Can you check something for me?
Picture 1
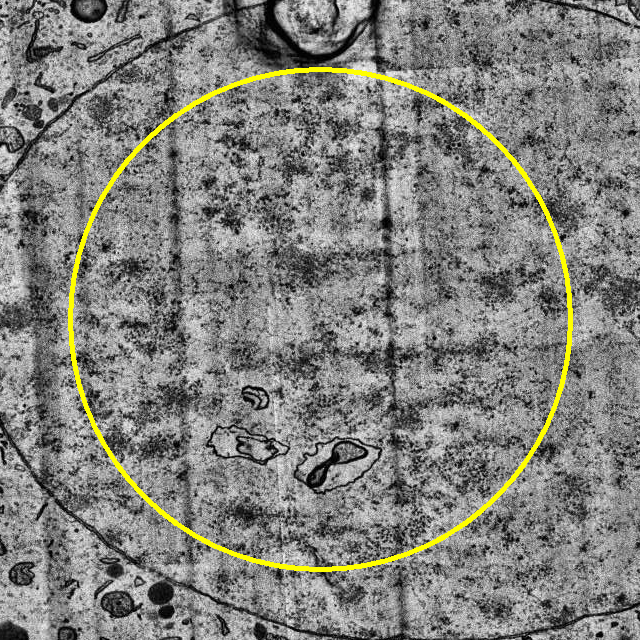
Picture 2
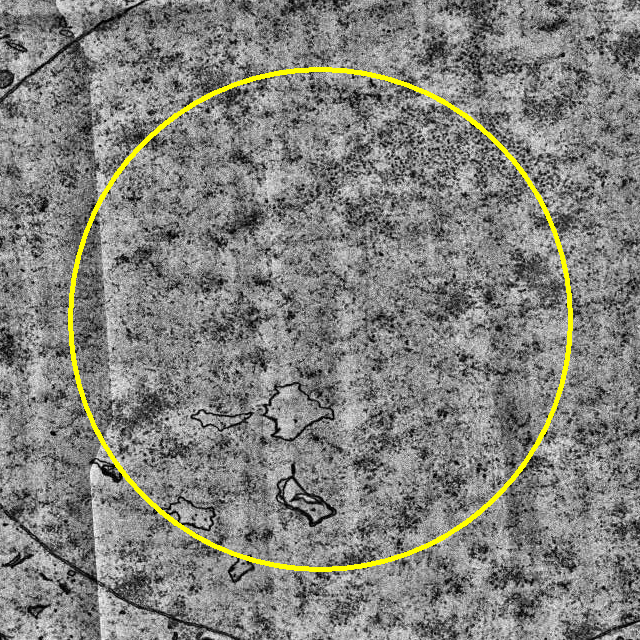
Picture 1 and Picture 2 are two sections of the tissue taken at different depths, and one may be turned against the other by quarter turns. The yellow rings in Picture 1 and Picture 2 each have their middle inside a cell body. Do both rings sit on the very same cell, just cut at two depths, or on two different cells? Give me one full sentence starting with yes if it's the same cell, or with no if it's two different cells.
Yes, a single cell lies behind both yellow marks.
